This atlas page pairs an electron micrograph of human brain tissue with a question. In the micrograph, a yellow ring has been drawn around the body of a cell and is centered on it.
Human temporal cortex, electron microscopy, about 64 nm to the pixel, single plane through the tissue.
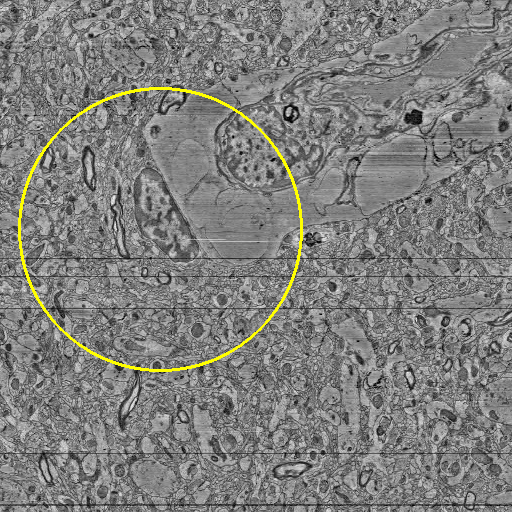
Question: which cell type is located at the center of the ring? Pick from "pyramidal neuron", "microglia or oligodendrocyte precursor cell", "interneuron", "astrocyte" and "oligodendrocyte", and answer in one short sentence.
Located at the center of the ring is a microglial cell or oligodendrocyte precursor cell.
